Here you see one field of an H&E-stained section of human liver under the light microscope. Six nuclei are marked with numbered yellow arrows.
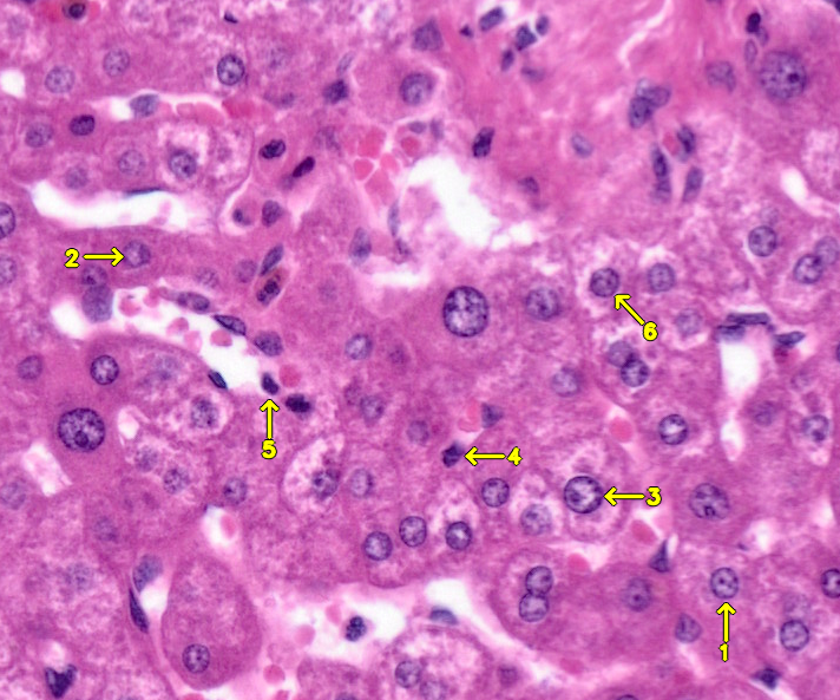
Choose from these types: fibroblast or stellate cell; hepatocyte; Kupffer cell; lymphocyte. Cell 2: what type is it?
hepatocyte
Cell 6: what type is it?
hepatocyte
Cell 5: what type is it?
lymphocyte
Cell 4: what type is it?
fibroblast or stellate cell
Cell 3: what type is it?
hepatocyte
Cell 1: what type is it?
hepatocyte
